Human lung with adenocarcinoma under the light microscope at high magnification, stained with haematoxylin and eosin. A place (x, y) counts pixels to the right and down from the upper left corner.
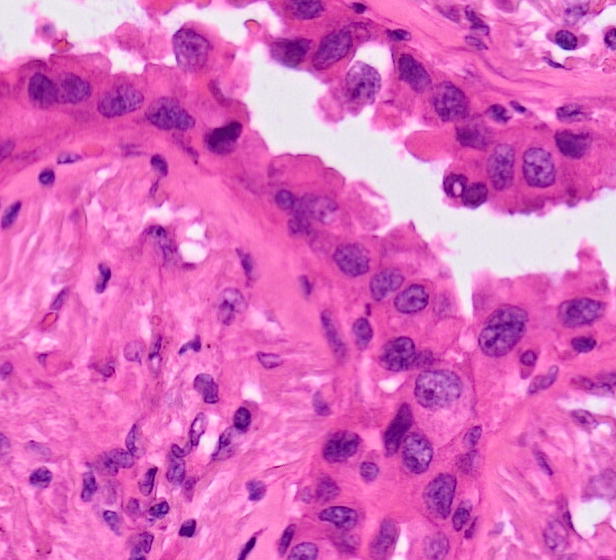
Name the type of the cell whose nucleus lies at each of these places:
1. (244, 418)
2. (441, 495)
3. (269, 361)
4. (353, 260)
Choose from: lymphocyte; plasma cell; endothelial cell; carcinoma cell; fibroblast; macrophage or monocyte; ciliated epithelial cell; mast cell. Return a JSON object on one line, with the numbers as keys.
{"1": "plasma cell", "2": "carcinoma cell", "3": "macrophage or monocyte", "4": "carcinoma cell"}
